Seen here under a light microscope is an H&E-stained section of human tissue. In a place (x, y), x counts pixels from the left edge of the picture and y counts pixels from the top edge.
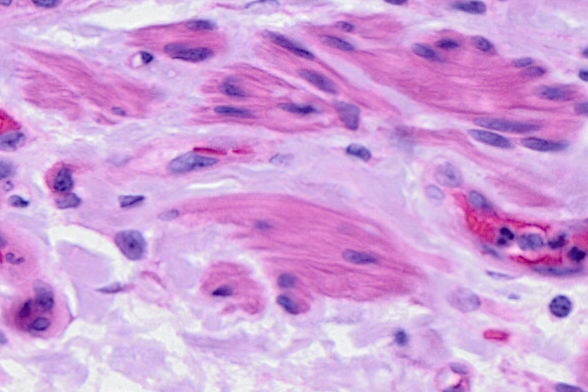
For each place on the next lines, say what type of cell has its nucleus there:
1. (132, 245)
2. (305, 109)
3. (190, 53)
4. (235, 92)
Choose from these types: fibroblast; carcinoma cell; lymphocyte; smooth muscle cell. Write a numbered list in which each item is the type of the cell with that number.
1. fibroblast
2. smooth muscle cell
3. smooth muscle cell
4. smooth muscle cell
